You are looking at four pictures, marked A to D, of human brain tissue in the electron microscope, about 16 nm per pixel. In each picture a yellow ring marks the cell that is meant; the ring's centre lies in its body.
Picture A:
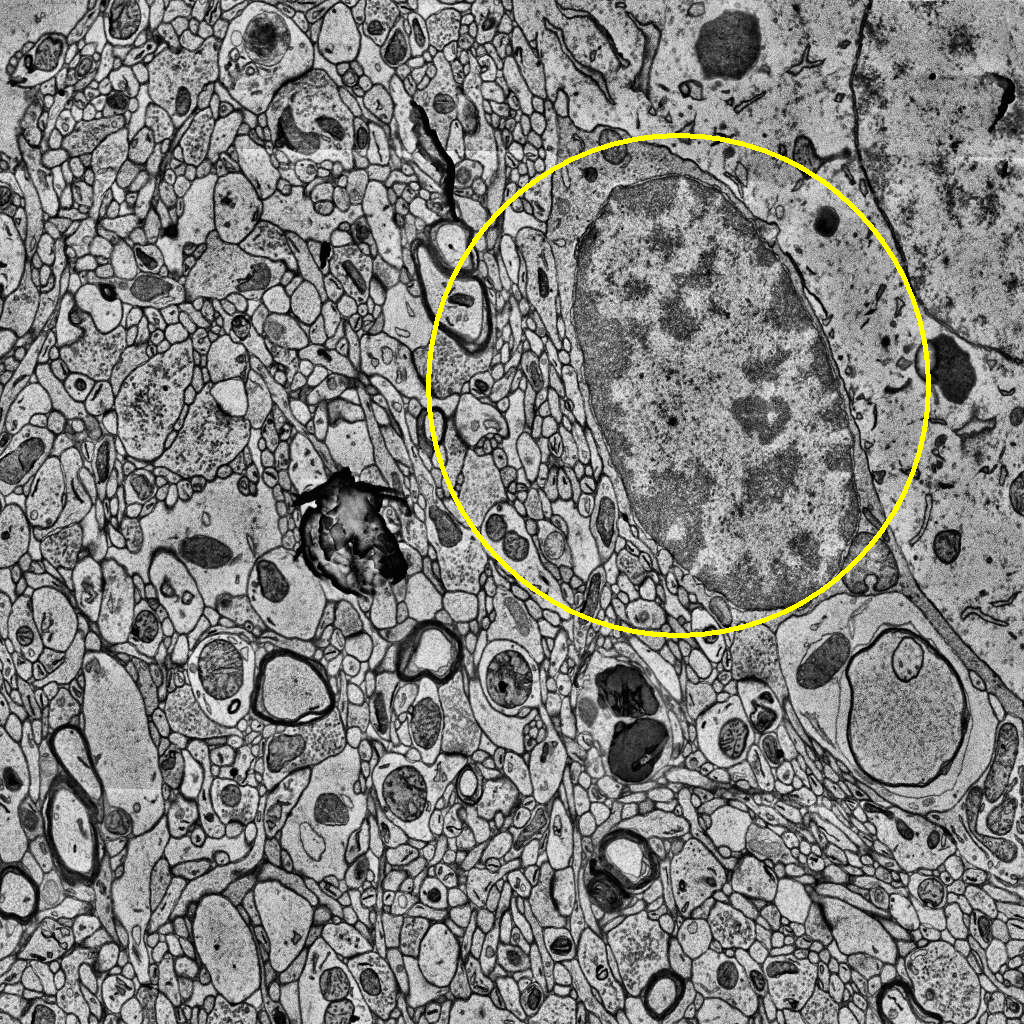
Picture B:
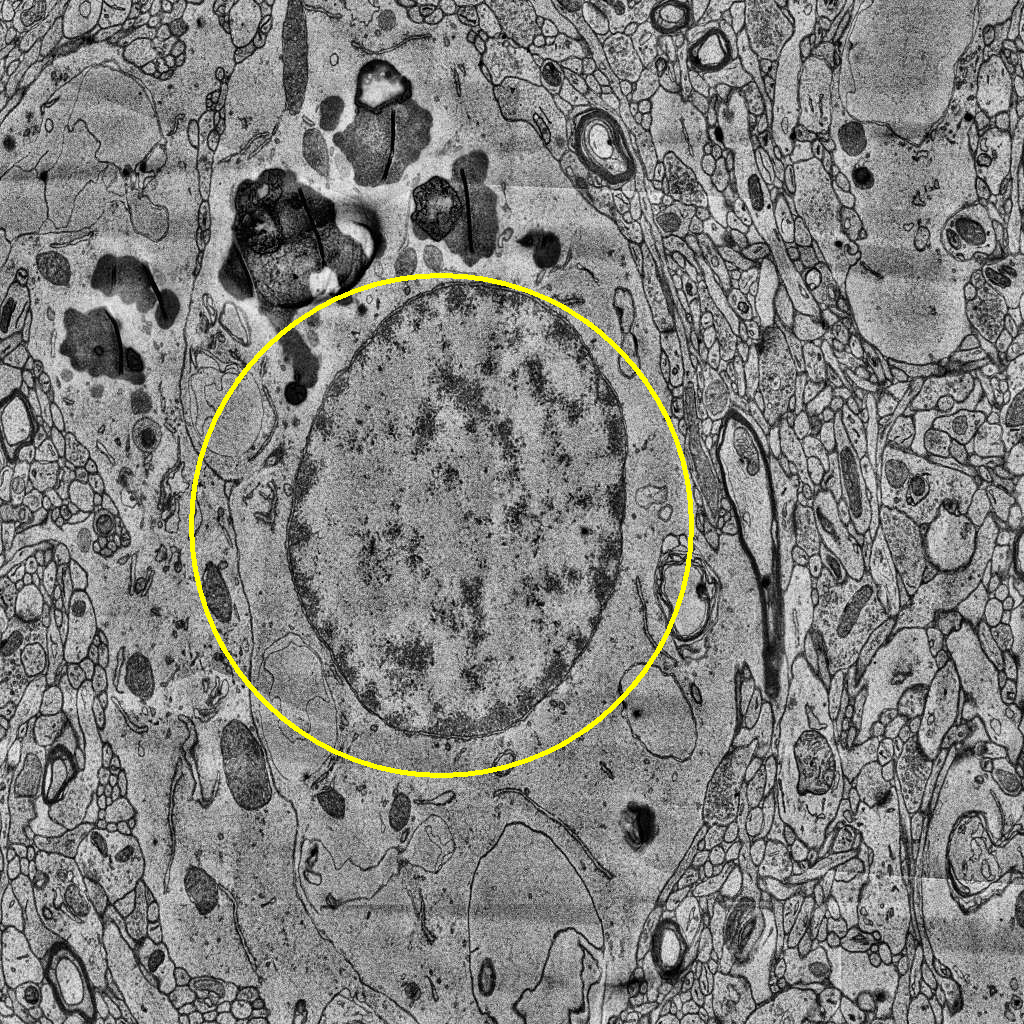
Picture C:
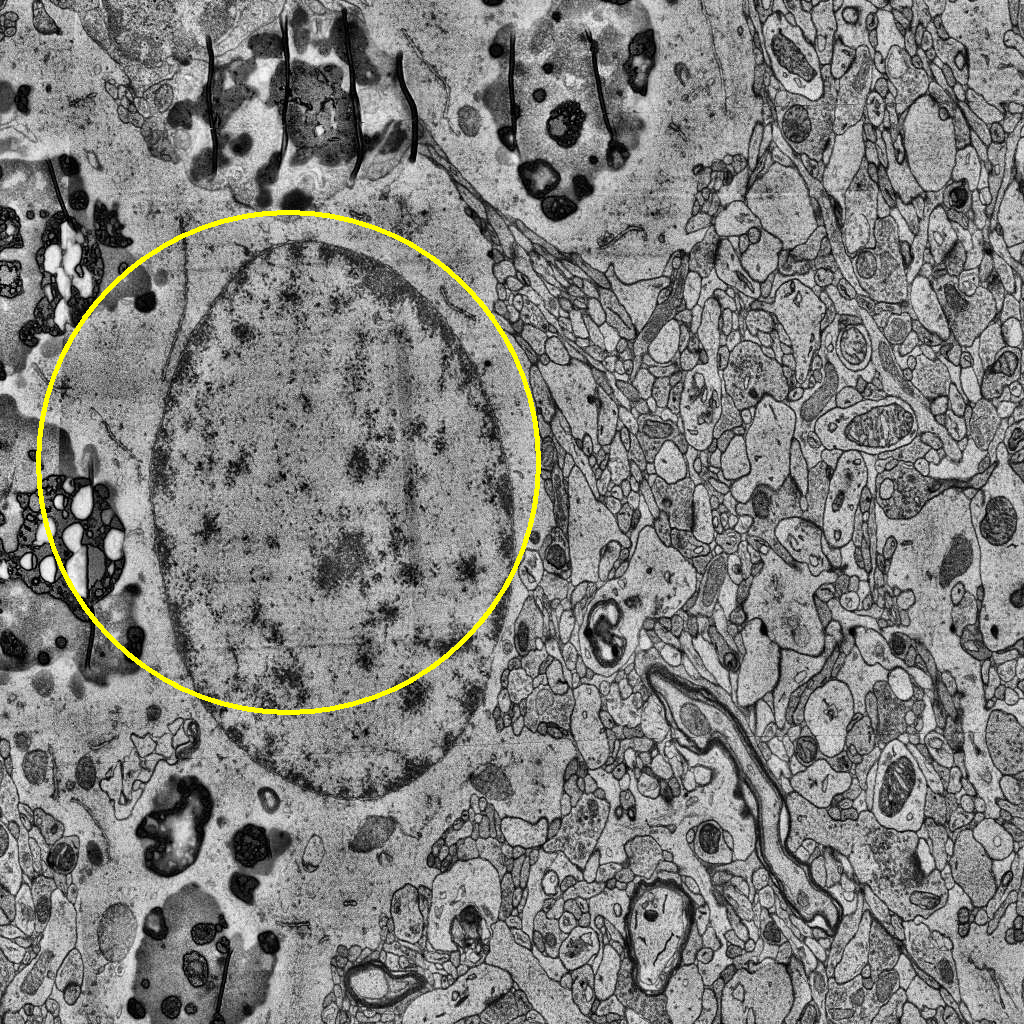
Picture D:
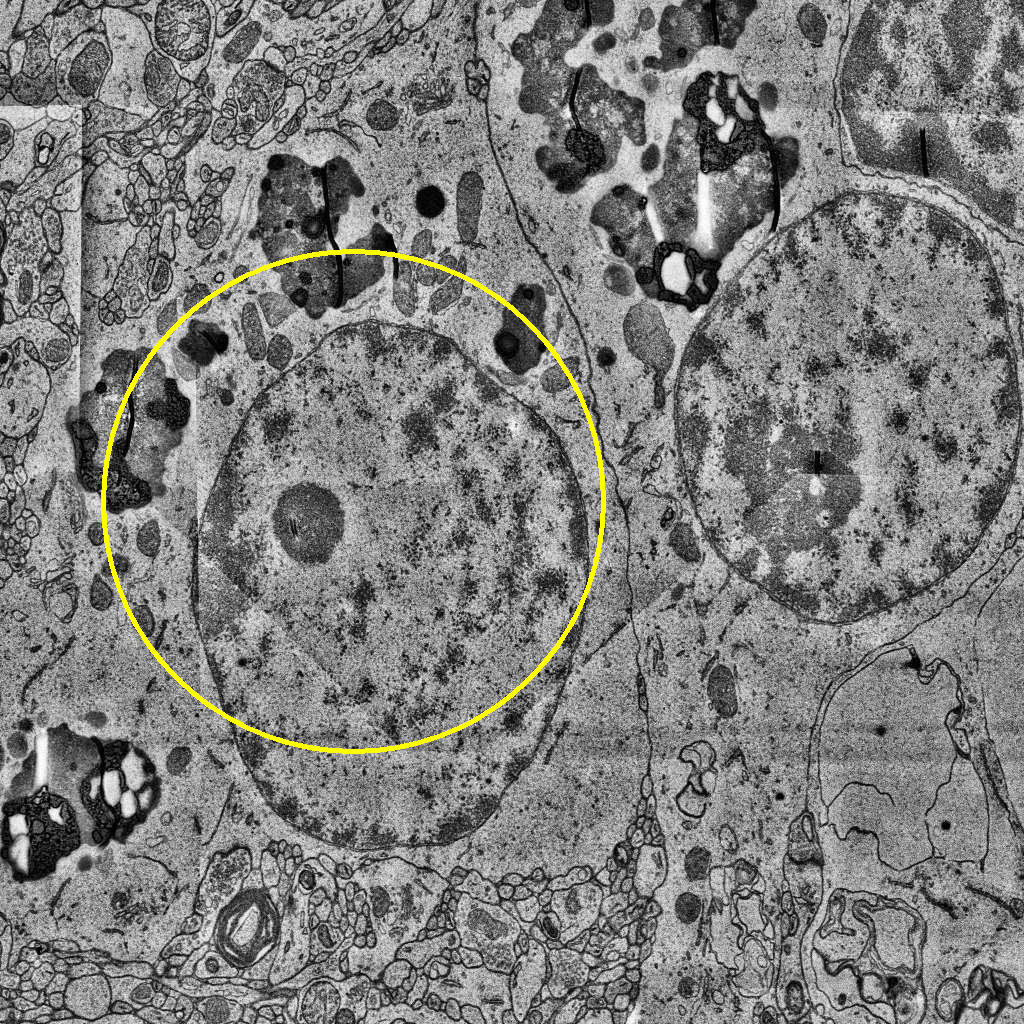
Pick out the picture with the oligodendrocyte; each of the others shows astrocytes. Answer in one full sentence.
Picture A shows the oligodendrocyte.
